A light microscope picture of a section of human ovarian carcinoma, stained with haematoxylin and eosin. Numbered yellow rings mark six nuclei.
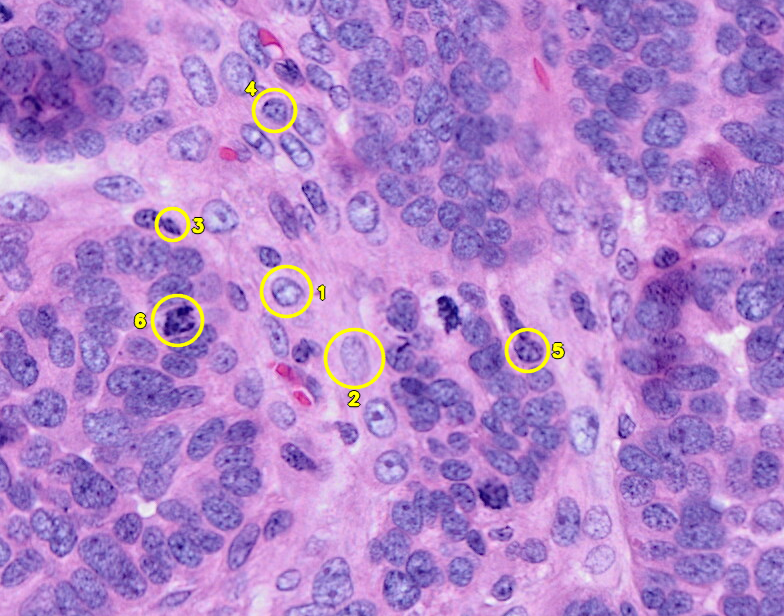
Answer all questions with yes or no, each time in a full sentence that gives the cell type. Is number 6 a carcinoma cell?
Yes, that is right: the cell labelled 6 is a carcinoma cell.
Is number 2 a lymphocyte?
No, the cell with number 2 is not a lymphocyte but a fibroblast.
